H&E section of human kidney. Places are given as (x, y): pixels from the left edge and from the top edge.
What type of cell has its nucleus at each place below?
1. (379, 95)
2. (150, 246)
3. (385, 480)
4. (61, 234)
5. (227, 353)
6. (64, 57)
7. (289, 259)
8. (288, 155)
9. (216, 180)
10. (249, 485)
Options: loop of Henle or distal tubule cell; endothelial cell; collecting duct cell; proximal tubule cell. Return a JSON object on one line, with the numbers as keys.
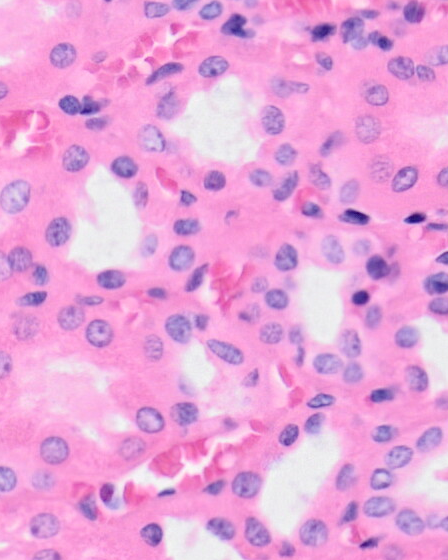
{"1": "proximal tubule cell", "2": "loop of Henle or distal tubule cell", "3": "collecting duct cell", "4": "loop of Henle or distal tubule cell", "5": "collecting duct cell", "6": "proximal tubule cell", "7": "collecting duct cell", "8": "loop of Henle or distal tubule cell", "9": "loop of Henle or distal tubule cell", "10": "loop of Henle or distal tubule cell"}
